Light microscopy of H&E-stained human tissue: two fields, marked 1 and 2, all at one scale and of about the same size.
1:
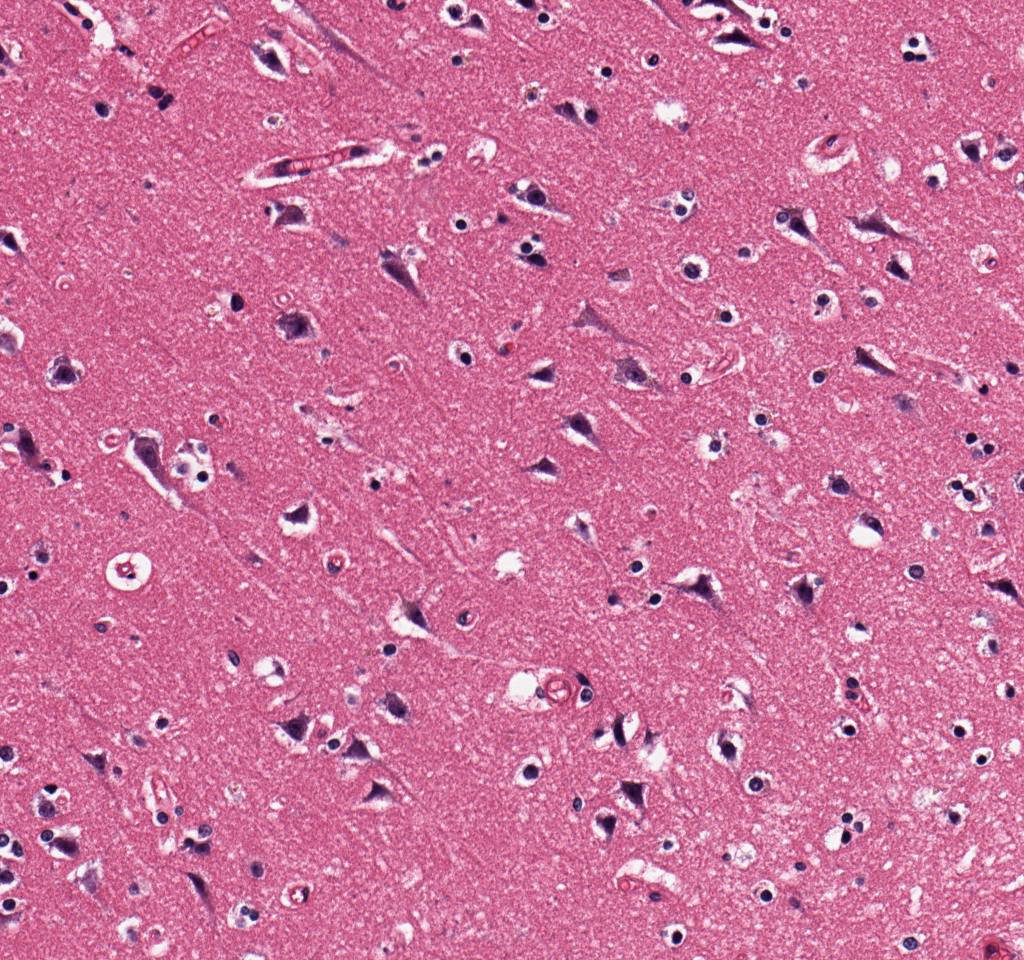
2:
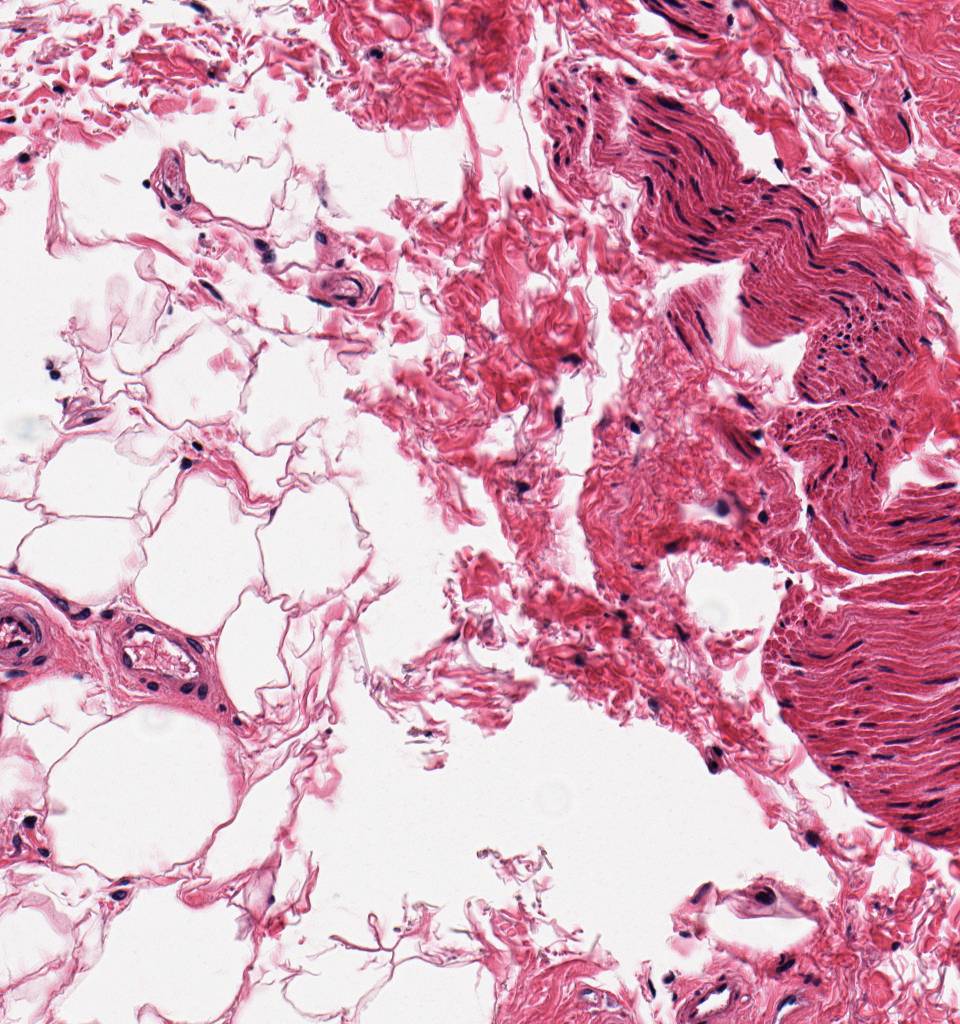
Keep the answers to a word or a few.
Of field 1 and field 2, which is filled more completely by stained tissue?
1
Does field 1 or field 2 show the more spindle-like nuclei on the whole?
2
